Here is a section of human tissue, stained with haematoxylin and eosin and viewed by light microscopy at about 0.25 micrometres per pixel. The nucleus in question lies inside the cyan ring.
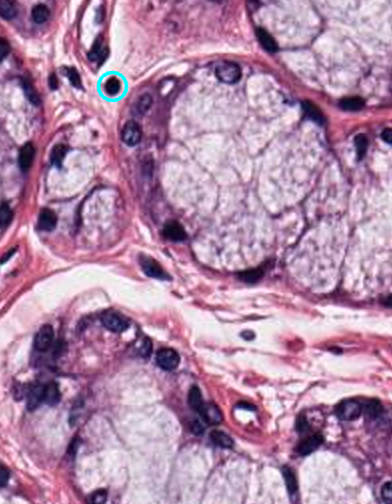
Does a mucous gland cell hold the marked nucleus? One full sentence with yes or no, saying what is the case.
No, the cell whose nucleus is marked is a supporting cell and not a mucous gland cell.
